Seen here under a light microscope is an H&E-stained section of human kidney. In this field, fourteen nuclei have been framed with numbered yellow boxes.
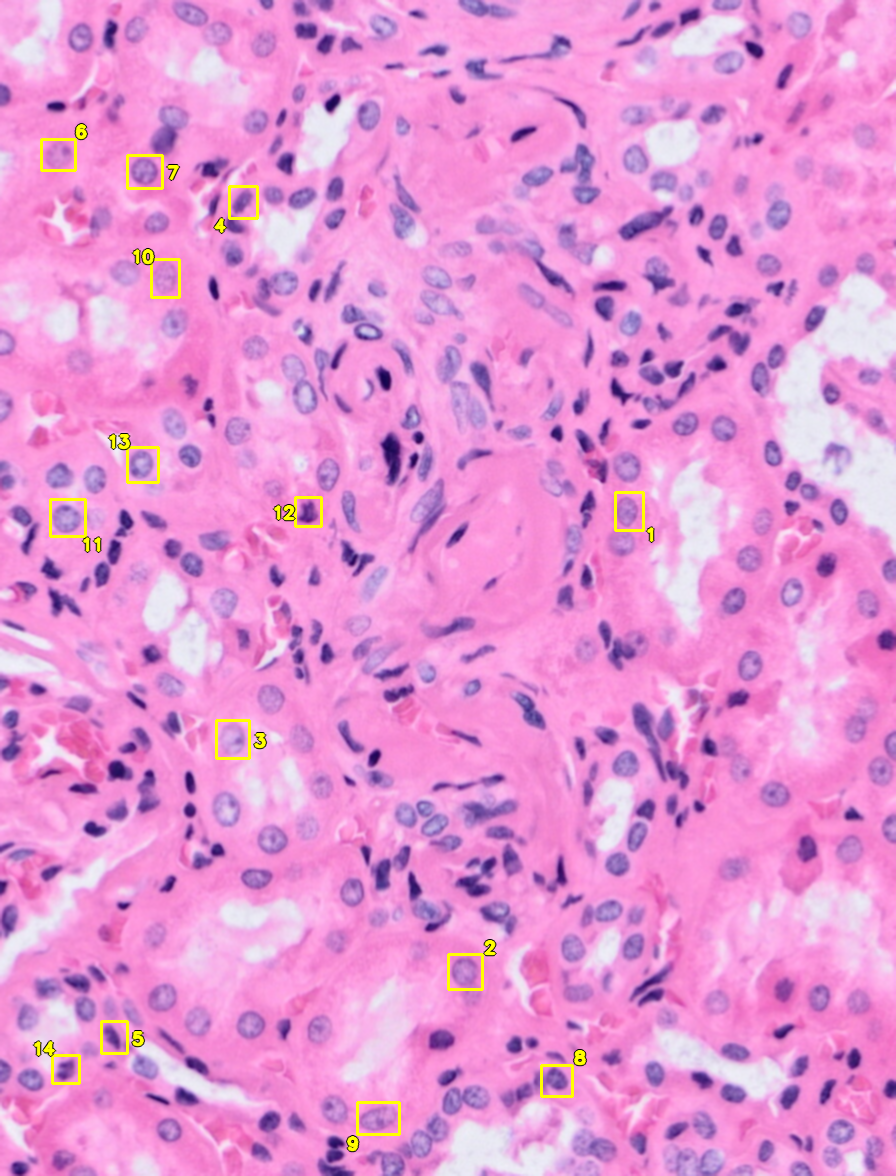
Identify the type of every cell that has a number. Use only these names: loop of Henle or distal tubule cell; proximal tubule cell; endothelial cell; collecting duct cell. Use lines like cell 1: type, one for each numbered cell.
cell 1: proximal tubule cell
cell 2: proximal tubule cell
cell 3: proximal tubule cell
cell 4: collecting duct cell
cell 5: collecting duct cell
cell 6: proximal tubule cell
cell 7: proximal tubule cell
cell 8: collecting duct cell
cell 9: proximal tubule cell
cell 10: proximal tubule cell
cell 11: loop of Henle or distal tubule cell
cell 12: proximal tubule cell
cell 13: collecting duct cell
cell 14: collecting duct cell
